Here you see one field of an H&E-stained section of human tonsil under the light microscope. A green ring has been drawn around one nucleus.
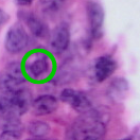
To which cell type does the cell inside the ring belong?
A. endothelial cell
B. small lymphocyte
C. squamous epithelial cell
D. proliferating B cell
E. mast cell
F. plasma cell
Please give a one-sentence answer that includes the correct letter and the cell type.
Option D is the right one; the cell inside the ring is a proliferating B cell.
